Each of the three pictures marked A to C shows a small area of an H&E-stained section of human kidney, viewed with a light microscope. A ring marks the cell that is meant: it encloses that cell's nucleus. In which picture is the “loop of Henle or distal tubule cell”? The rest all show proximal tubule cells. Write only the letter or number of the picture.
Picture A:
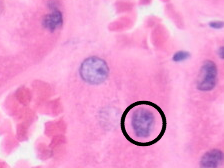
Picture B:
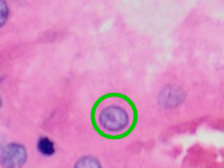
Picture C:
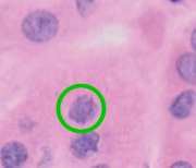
C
